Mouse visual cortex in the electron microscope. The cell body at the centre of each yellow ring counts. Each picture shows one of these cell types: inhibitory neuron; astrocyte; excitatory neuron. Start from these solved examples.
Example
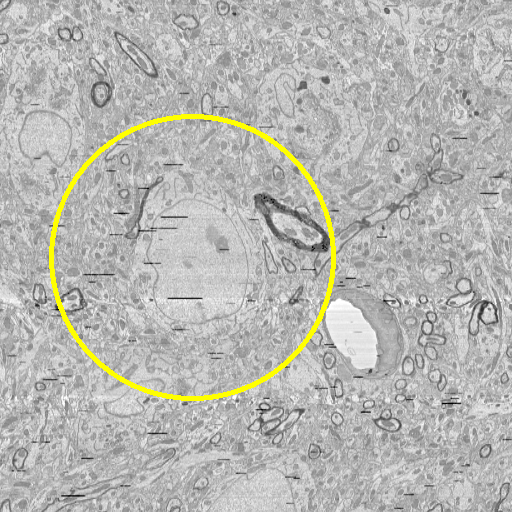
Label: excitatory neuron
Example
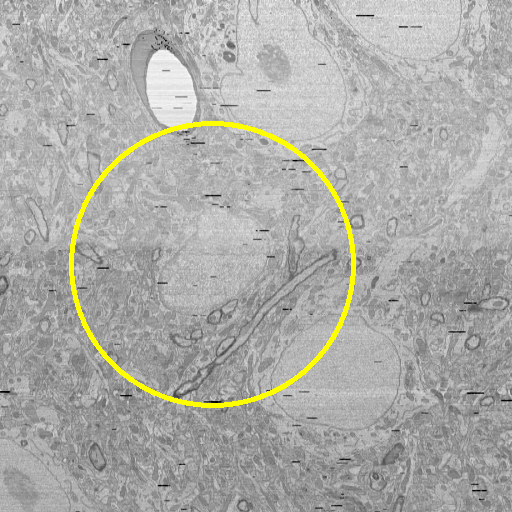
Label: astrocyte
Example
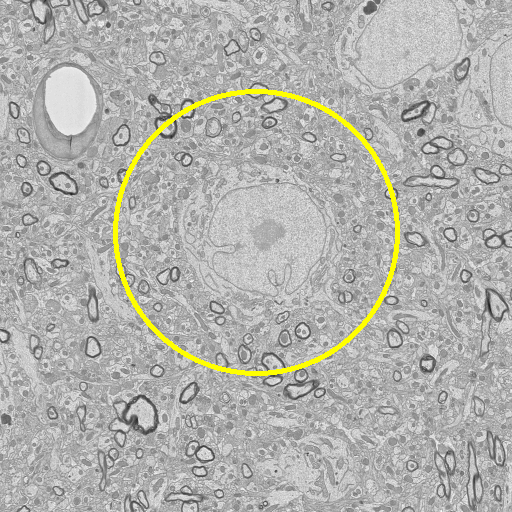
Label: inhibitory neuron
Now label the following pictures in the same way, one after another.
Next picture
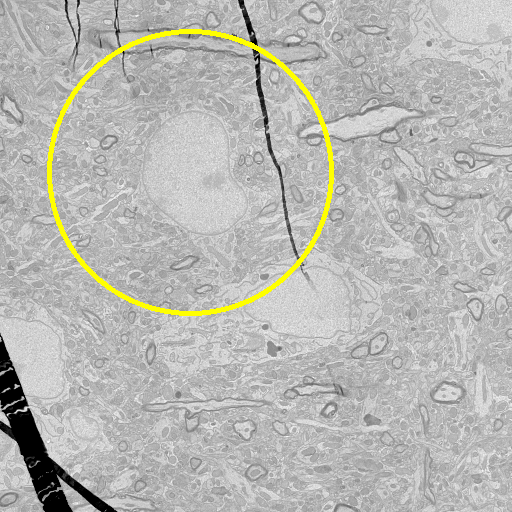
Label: astrocyte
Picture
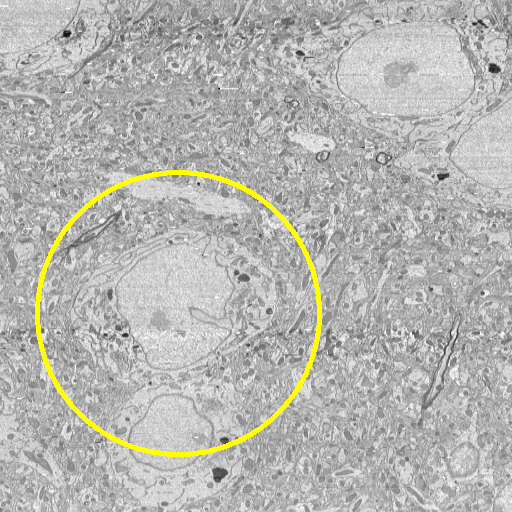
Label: inhibitory neuron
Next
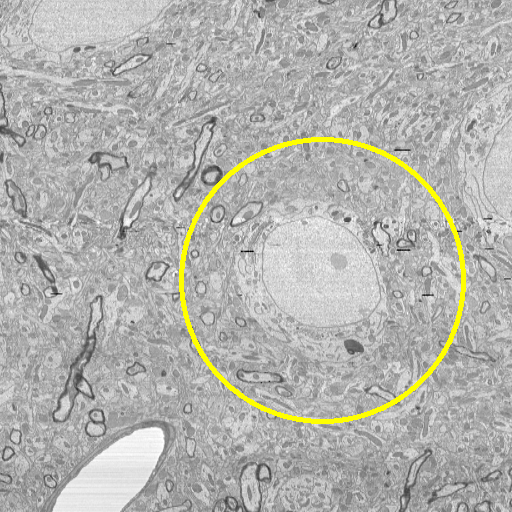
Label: excitatory neuron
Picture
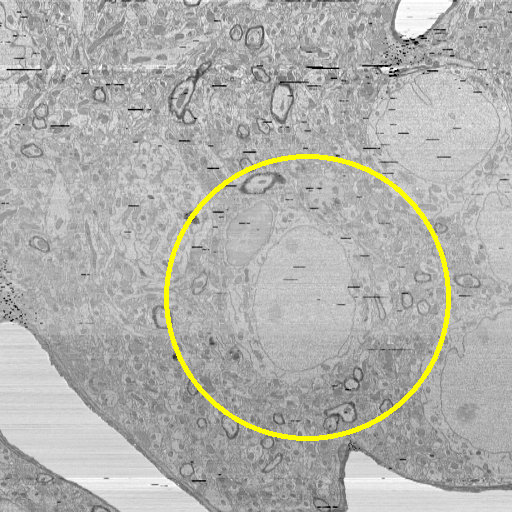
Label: excitatory neuron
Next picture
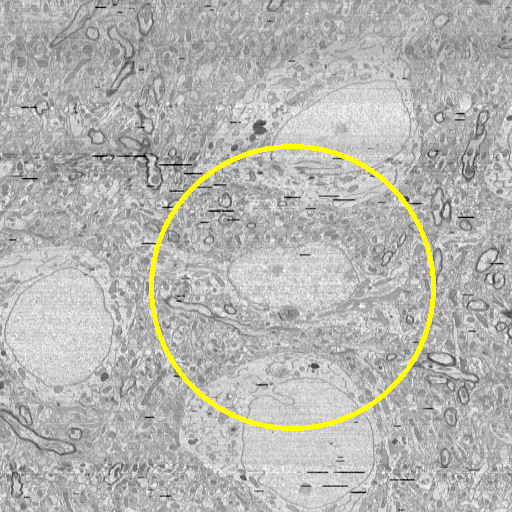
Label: astrocyte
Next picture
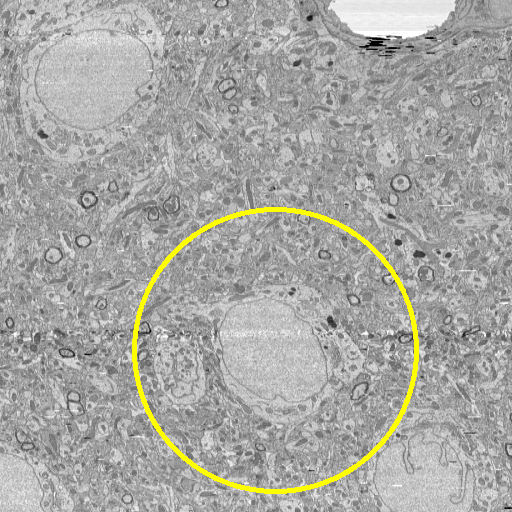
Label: excitatory neuron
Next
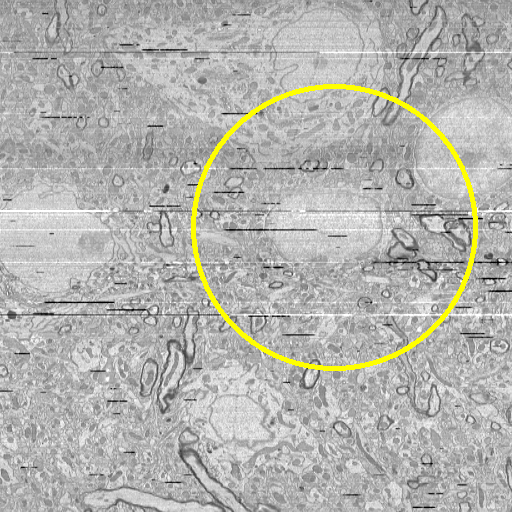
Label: astrocyte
